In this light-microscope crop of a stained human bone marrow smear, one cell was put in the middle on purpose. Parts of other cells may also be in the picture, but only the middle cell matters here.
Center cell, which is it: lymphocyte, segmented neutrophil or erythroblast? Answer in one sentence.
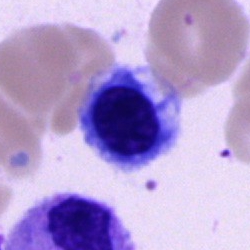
At the middle of the frame sits an erythroblast.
